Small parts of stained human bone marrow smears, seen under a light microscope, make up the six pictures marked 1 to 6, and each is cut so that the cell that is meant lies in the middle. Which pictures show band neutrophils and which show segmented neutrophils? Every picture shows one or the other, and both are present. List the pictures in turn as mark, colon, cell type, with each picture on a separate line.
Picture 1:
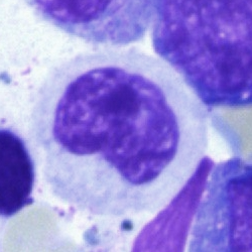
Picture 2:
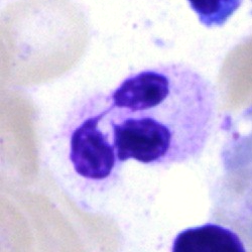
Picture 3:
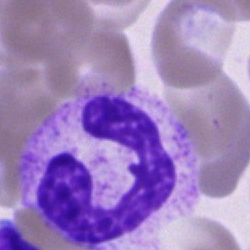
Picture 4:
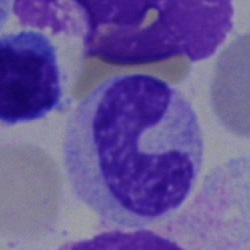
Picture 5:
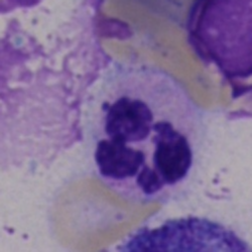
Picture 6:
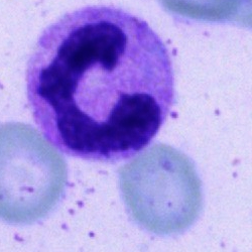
1: band neutrophil
2: segmented neutrophil
3: band neutrophil
4: band neutrophil
5: segmented neutrophil
6: segmented neutrophil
